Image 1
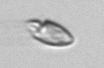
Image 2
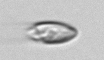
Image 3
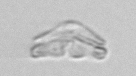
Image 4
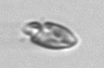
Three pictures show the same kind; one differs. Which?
Picture 3: Karenia papilionacea, while the others are Kapelodinium.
